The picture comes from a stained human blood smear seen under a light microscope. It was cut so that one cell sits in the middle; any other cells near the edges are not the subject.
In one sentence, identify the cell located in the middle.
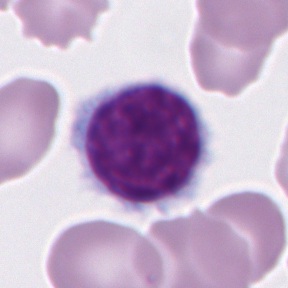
The cell of interest, in the center, is a hairy cell.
